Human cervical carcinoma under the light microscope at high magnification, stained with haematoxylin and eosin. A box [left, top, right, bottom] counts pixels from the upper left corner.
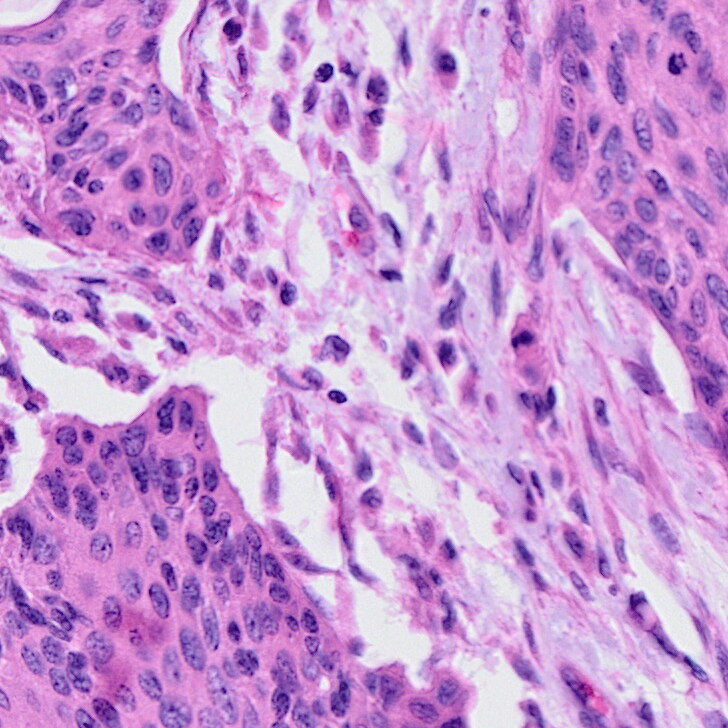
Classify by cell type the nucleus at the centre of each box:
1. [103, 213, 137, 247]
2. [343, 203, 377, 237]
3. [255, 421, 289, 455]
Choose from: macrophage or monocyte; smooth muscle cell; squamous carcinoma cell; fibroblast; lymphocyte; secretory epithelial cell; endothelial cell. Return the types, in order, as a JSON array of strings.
["squamous carcinoma cell", "endothelial cell", "fibroblast"]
